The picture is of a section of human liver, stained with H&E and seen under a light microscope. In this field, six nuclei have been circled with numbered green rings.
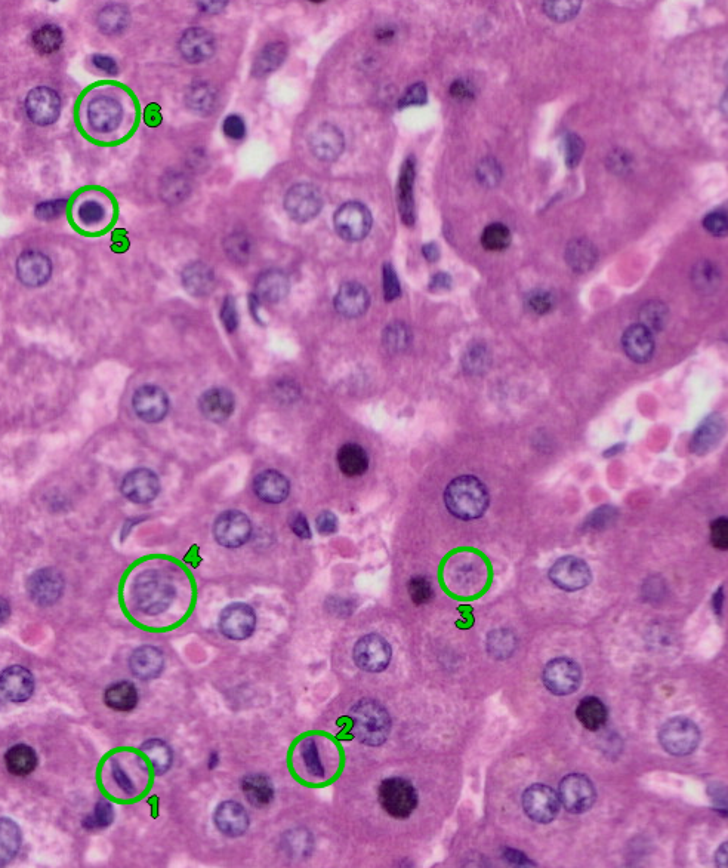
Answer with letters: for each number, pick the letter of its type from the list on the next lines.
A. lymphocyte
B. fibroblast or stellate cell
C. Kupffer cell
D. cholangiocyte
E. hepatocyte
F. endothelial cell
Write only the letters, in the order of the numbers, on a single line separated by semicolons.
B; B; E; E; A; E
